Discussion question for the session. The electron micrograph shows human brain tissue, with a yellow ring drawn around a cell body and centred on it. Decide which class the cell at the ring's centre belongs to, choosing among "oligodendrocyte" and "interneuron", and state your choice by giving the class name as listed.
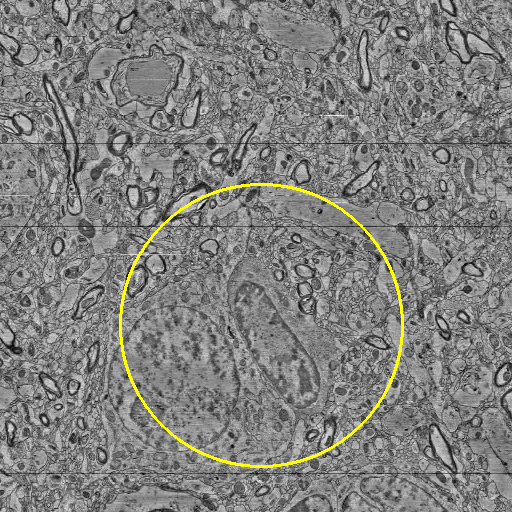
oligodendrocyte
